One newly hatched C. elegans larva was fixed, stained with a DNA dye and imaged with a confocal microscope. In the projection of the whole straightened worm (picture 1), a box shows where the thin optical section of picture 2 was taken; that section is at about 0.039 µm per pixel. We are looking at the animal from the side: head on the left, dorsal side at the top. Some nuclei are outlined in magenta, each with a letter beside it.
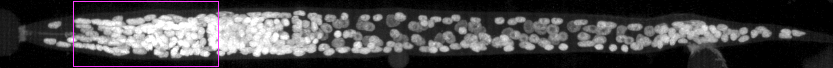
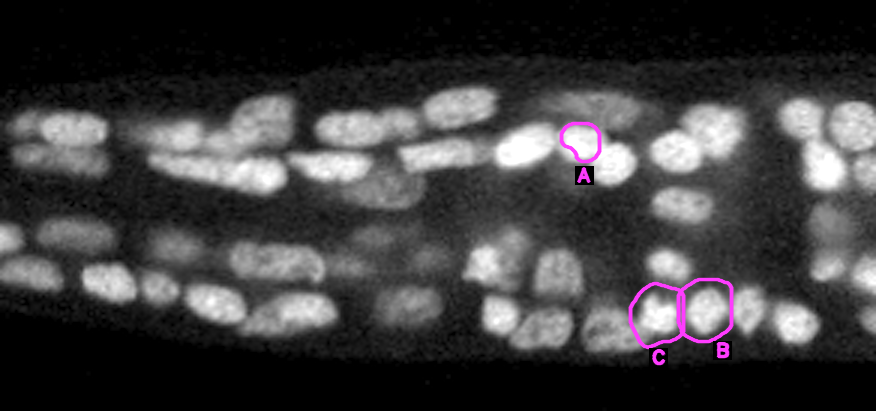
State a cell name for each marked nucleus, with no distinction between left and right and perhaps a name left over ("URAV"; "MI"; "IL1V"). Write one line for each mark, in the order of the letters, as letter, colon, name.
A: MI
B: IL1V
C: URAV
